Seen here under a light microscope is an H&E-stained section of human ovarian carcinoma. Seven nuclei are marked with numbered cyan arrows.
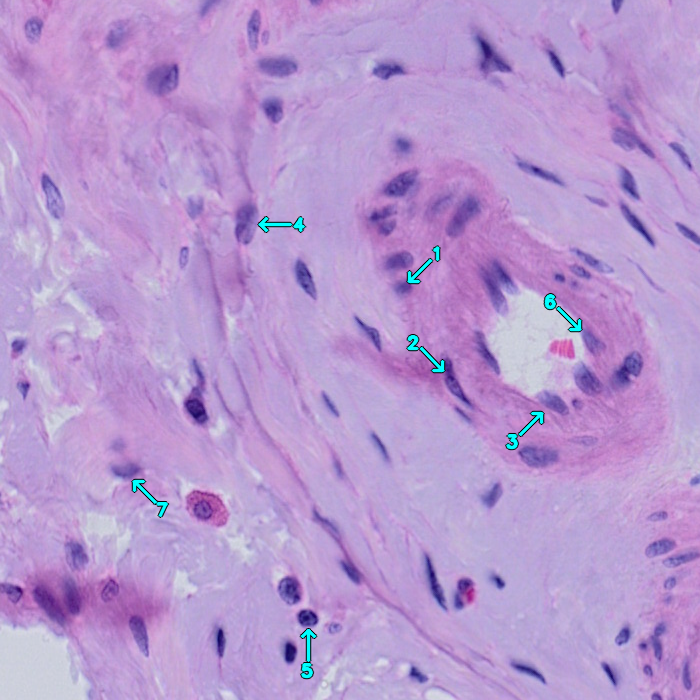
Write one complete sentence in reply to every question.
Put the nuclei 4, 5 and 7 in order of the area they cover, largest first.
Going from the biggest nucleus down to the smallest gives 4, 7, 5.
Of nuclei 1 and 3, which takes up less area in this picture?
With nucleus 3 about 2 times its size, nucleus 1 is the smaller of the two.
